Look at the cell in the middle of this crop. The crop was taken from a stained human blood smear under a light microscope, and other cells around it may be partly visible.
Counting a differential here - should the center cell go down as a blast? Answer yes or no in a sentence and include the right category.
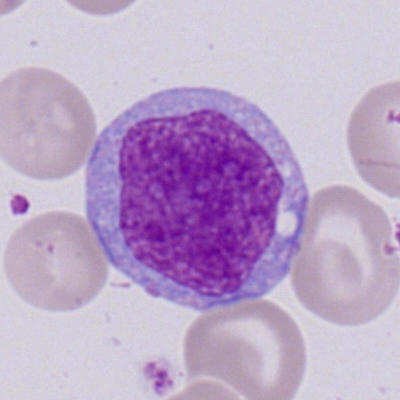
Yes, the central element of the crop is a blast.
